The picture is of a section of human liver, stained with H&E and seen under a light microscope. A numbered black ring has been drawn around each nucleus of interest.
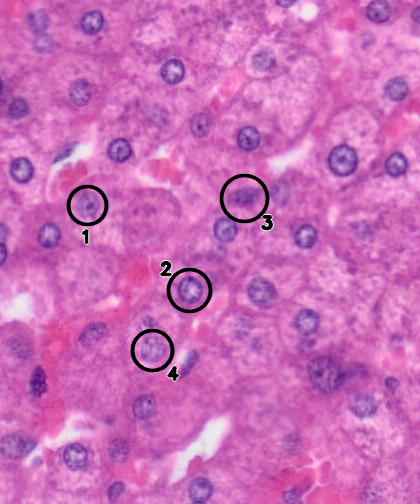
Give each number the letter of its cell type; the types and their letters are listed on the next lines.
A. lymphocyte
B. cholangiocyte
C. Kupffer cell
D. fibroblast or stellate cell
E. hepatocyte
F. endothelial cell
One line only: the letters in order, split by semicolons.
E; E; F; E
